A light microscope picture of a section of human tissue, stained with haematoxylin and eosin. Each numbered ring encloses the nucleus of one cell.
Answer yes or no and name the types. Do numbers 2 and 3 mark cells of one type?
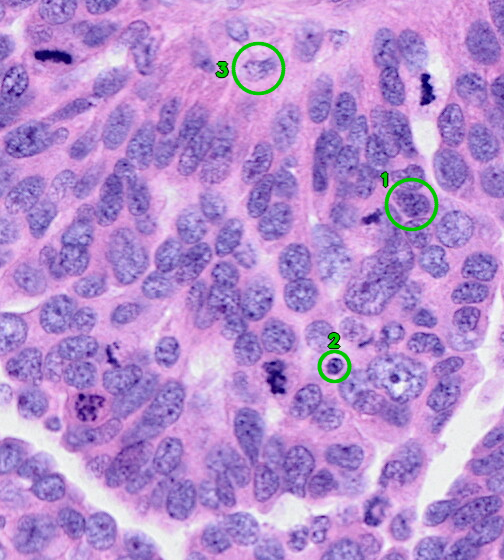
No, here cell 2 is a lymphocyte, whereas cell 3 is a fibroblast.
